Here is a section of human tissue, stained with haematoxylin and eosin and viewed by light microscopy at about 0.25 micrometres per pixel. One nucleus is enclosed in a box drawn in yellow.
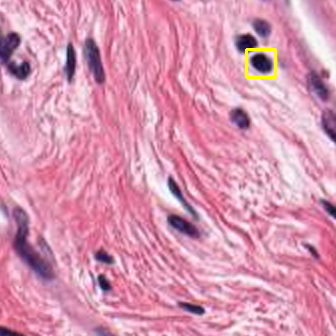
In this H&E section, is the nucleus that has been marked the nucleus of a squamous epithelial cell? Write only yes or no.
no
